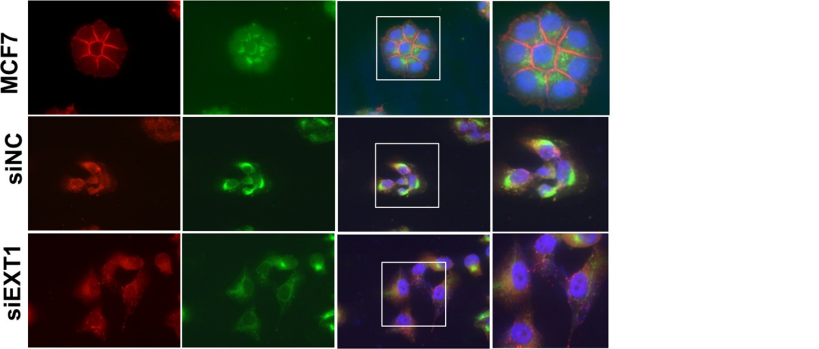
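In the top row the cells form a compact, rounded cluster of tightly packed polygonal cells, with the red signal drawn as sharp lines along the borders between neighbouring cells and a finer green signal inside the cytoplasm around the blue nuclei. In the middle row a small group of cells has irregular, partly elongated shapes that are more loosely arranged. Here the red signal is patchy within the cells rather than outlining their borders, and bright green signal lies crowded in the cytoplasm beside the nuclei. In the bottom row the cells are spread out and separated from one another, with broad, flattened outlines, diffuse faint reddish cytoplasm and sparse, fine green strands around large oval blue nuclei.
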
